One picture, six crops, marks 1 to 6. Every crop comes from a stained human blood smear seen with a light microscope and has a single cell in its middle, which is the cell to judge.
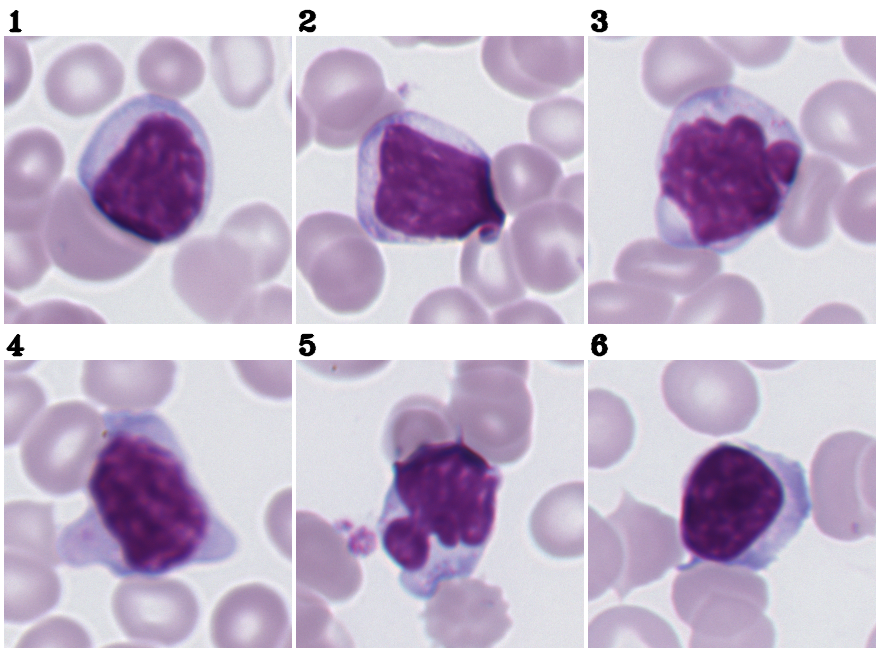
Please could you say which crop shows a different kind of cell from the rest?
6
